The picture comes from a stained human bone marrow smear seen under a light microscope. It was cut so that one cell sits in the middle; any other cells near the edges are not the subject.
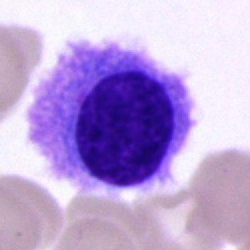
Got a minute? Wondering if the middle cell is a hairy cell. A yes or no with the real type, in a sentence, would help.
Yes, the cell occupying the center is a hairy cell.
